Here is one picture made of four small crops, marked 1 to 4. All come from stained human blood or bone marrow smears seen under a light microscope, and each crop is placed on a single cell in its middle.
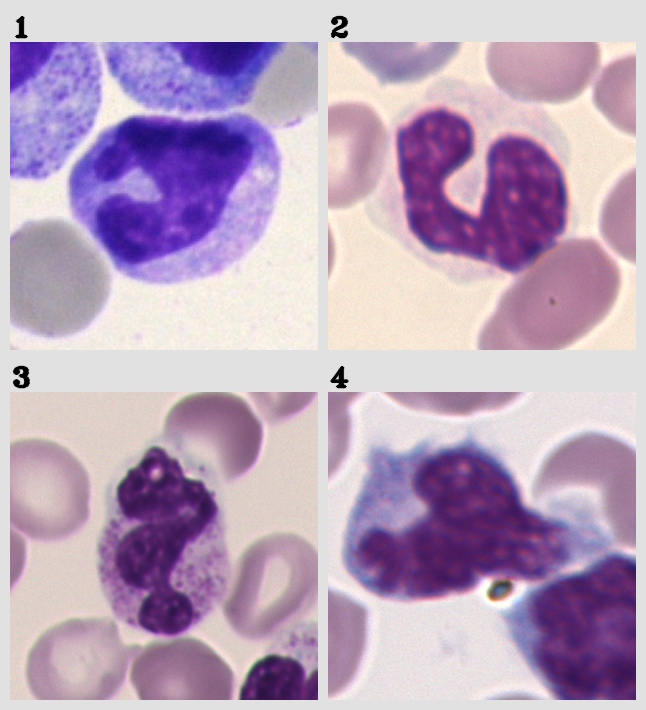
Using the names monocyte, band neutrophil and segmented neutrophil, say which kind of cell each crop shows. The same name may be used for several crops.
1: monocyte
2: band neutrophil
3: segmented neutrophil
4: monocyte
